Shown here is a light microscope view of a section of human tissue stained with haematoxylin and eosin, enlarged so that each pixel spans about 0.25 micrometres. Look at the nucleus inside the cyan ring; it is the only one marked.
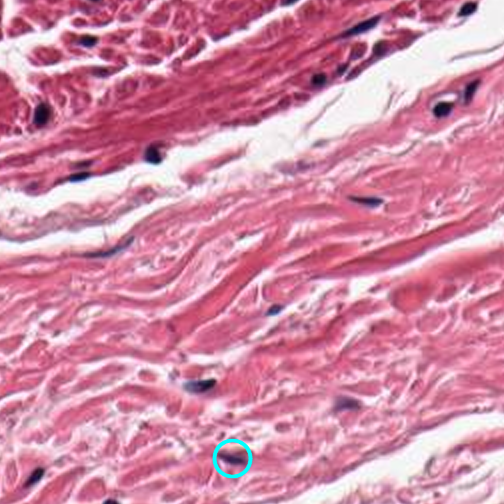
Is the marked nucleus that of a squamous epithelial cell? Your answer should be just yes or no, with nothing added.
no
